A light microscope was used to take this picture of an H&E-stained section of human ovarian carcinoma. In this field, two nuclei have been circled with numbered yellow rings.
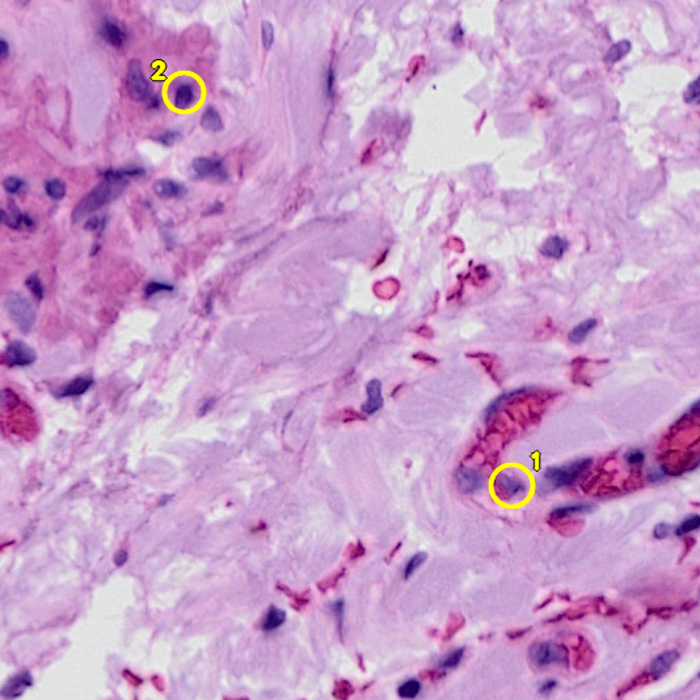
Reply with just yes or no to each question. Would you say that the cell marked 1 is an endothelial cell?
yes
